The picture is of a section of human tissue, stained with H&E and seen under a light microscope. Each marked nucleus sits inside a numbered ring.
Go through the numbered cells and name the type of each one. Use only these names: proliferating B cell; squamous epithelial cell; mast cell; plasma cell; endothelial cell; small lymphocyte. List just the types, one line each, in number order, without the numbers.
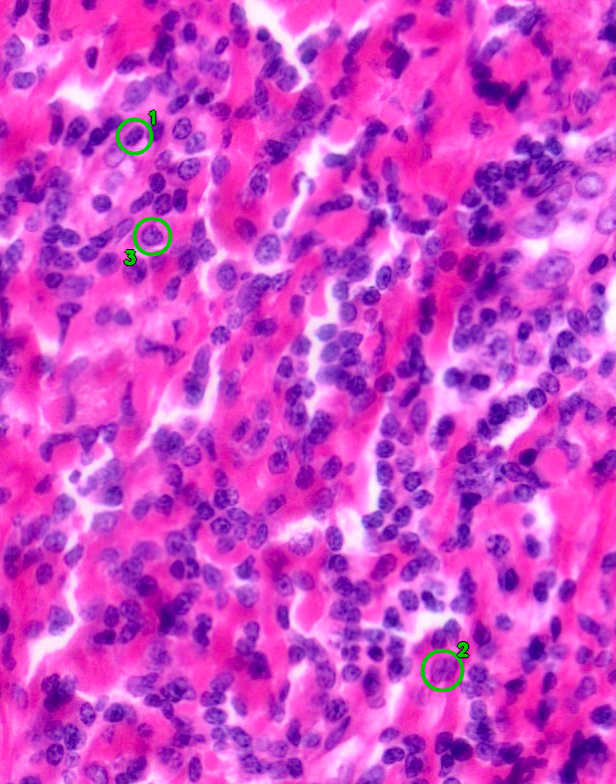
endothelial cell
endothelial cell
plasma cell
